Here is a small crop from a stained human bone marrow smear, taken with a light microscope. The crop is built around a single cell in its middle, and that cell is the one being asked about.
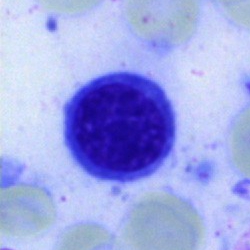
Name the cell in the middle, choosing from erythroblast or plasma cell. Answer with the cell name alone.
erythroblast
